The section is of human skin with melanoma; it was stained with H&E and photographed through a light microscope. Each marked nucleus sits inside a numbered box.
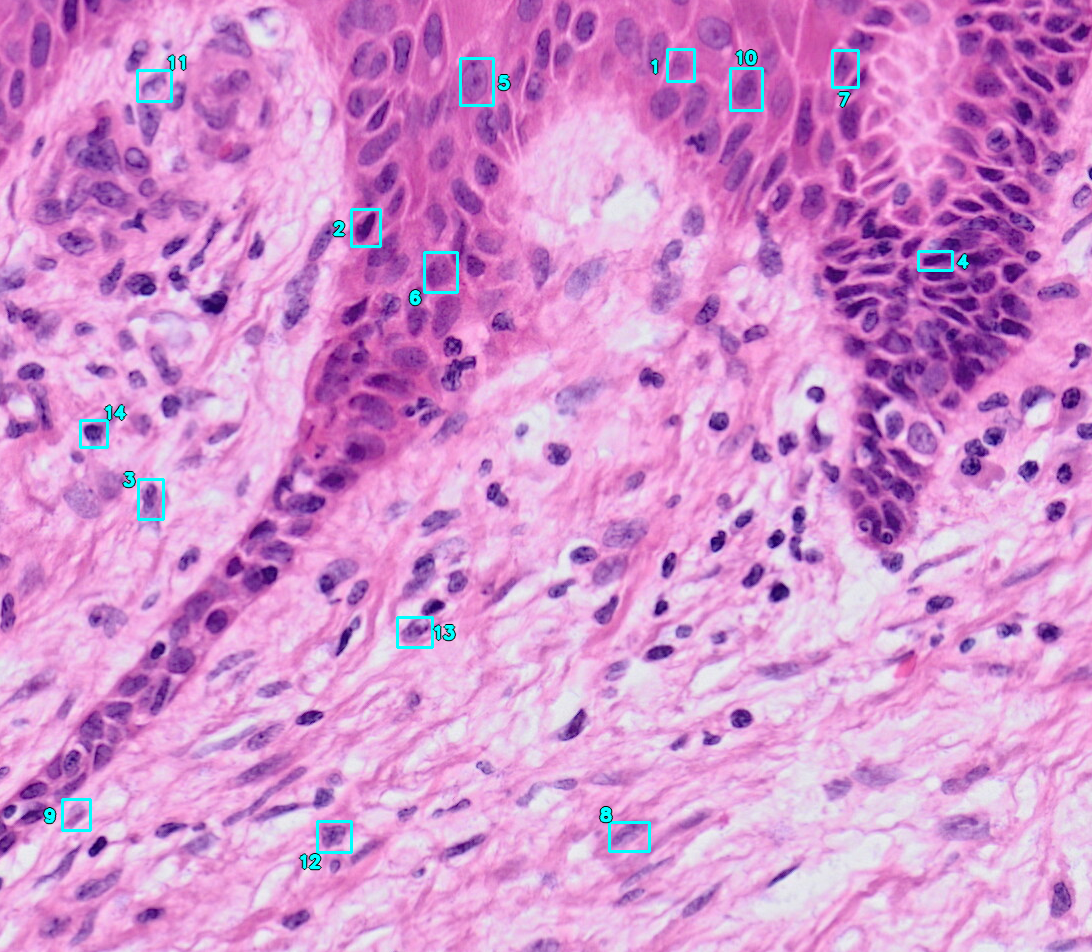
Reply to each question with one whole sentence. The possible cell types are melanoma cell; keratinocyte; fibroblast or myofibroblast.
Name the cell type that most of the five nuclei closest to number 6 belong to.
Around number 6, most of the five nearest nuclei are those of keratinocytes.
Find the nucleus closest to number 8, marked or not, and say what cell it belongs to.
The nucleus nearest to number 8 is that of a fibroblast or myofibroblast.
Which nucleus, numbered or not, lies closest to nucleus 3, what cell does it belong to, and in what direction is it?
The closest nucleus belongs to a fibroblast or myofibroblast and sits below nucleus 3.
